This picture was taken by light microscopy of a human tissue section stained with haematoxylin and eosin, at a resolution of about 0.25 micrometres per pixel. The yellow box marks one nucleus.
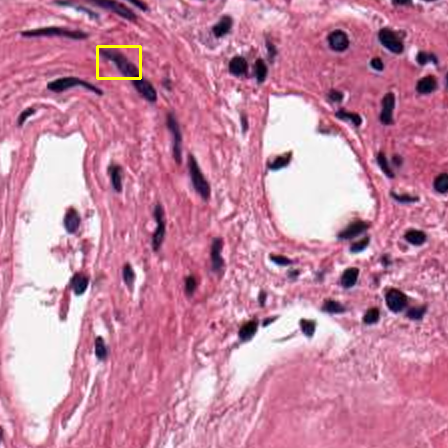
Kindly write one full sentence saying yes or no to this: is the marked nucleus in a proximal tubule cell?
No, the nucleus shown with the marker is not the nucleus of a proximal tubule cell.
